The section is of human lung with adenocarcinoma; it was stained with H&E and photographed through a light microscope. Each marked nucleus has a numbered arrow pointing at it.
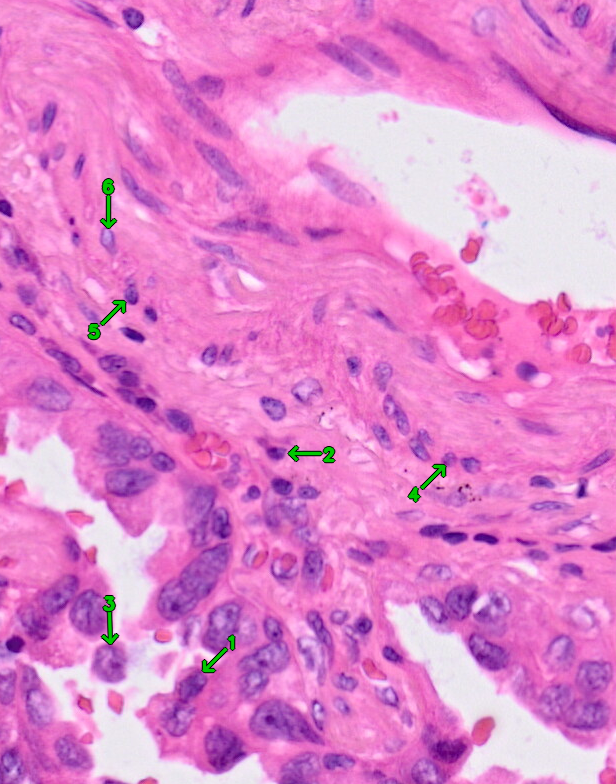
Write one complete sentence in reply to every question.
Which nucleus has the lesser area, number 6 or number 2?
The smaller nucleus is 2, and 6 covers roughly 1.5 times its area.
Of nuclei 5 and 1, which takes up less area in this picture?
With nucleus 1 about 4 times its size, nucleus 5 is the smaller of the two.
